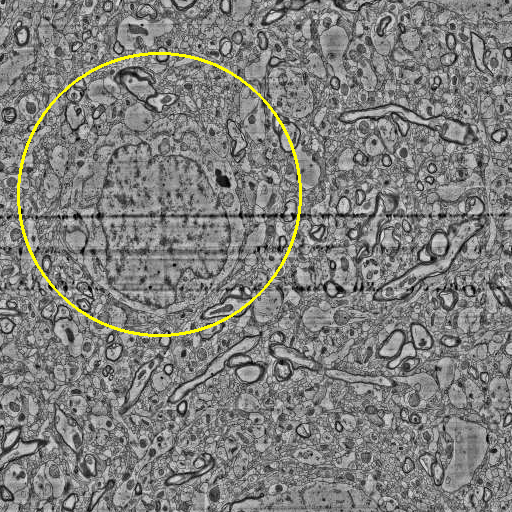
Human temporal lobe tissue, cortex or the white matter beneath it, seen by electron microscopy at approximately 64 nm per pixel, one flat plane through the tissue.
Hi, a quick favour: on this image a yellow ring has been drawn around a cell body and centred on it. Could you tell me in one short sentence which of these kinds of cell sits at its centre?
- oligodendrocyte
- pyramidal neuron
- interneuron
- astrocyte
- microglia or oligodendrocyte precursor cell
The ring is centred on an interneuron.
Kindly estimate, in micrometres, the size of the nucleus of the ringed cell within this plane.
About 11 by 8 micrometers, in this plane.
